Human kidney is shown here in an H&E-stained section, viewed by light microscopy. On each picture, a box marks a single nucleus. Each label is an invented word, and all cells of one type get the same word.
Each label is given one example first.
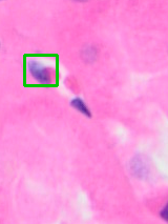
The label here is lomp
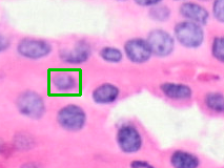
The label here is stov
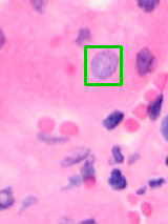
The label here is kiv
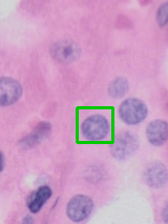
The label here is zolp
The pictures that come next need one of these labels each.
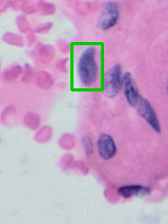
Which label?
lomp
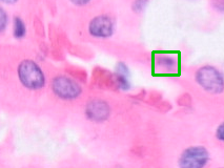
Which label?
stov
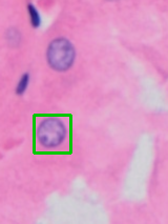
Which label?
kiv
